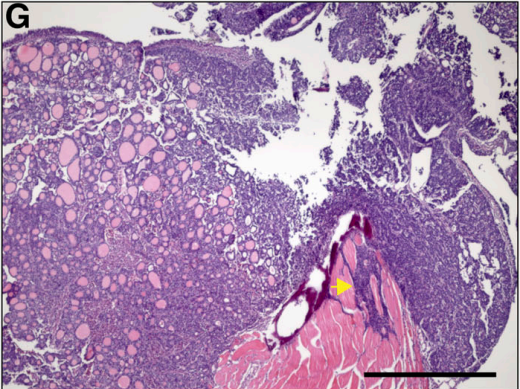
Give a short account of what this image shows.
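This low-power view shows thyroid tumor tissue next to skeletal muscle. On the left, numerous round follicles of varying size are filled with pink colloid and separated by purple cellular tissue. Toward the centre and right the tissue becomes more solid and densely cellular, with fewer and smaller follicles. At the lower right lie pink bundles of skeletal muscle, and purple tumor tissue extends along and into the edge of this muscle, indicating invasion.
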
